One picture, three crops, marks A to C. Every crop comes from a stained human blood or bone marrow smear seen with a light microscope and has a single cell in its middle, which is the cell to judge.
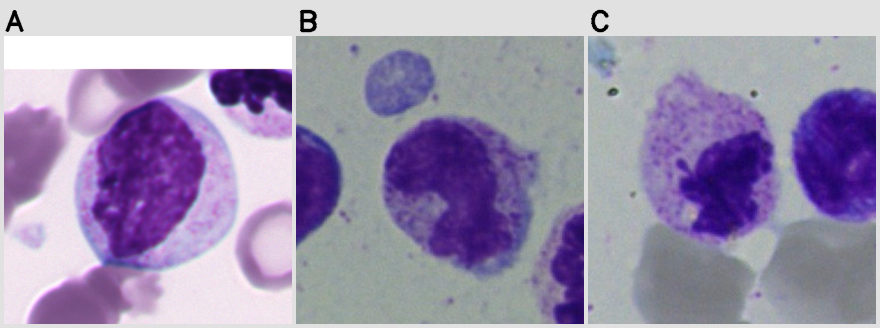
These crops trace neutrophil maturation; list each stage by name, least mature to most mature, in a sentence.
In terms of maturity, from lowest to highest, the order reads crop A (a myelocyte), crop B (a band neutrophil) and crop C (a segmented neutrophil).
